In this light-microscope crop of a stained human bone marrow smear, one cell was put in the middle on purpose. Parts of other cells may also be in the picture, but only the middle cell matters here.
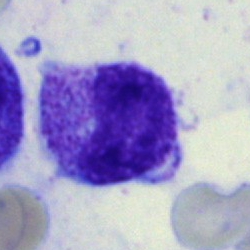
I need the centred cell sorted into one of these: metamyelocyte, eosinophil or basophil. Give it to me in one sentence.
As for the cell in the middle, it is a metamyelocyte.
